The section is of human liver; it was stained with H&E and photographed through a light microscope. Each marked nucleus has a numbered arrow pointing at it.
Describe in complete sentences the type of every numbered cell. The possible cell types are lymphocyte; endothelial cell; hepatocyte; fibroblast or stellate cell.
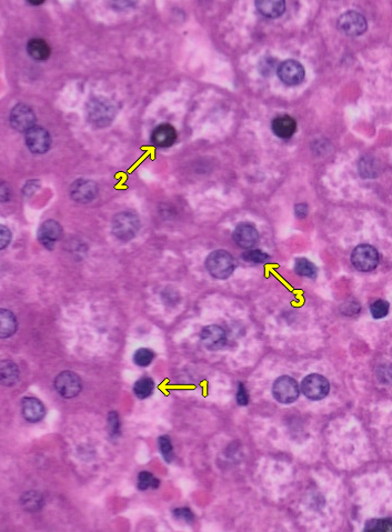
Cell 1 is a lymphocyte, cell 2 is a hepatocyte and cell 3 is a fibroblast or stellate cell.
